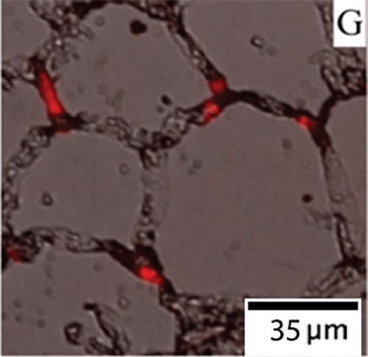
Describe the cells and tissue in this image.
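Here we look closely at fat cells from adipose tissue, each a large rounded space filled with lipid. The cells are bounded only by thin rims, and no nucleus stands out inside them. Where three or more cells meet, the rims thicken into small dark corners. Bright red spots sit in several of these corners and along some of the rims between cells. The interiors of the cells themselves carry no red.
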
